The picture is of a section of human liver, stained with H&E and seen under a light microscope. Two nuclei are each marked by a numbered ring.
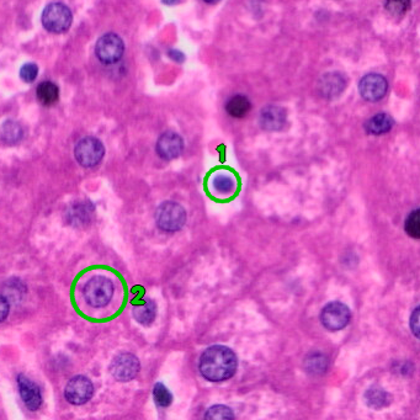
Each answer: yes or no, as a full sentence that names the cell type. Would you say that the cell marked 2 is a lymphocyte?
No, the cell carrying number 2 is a hepatocyte, not a lymphocyte.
